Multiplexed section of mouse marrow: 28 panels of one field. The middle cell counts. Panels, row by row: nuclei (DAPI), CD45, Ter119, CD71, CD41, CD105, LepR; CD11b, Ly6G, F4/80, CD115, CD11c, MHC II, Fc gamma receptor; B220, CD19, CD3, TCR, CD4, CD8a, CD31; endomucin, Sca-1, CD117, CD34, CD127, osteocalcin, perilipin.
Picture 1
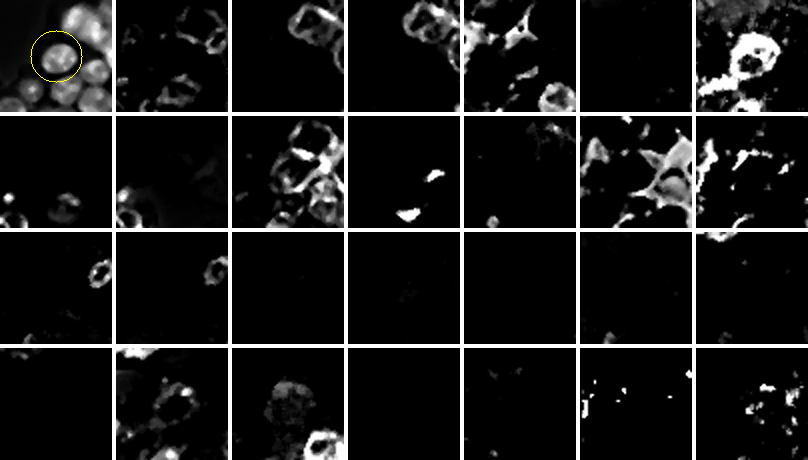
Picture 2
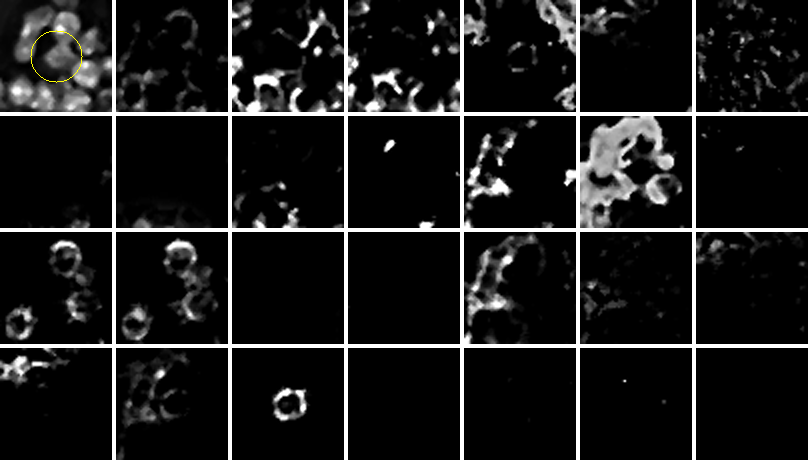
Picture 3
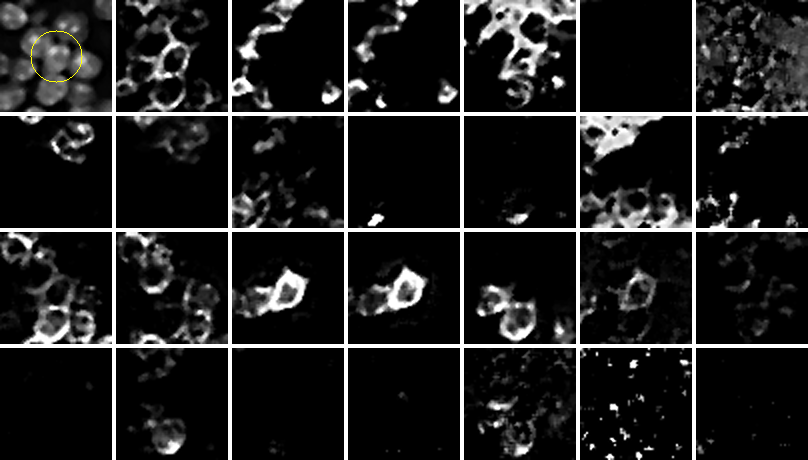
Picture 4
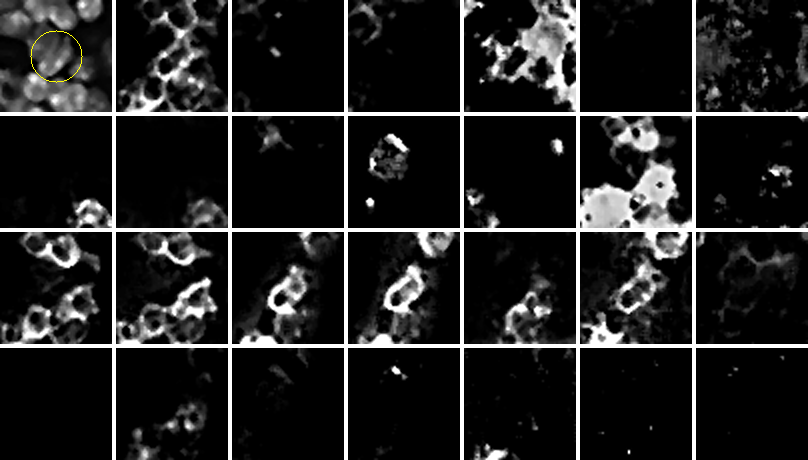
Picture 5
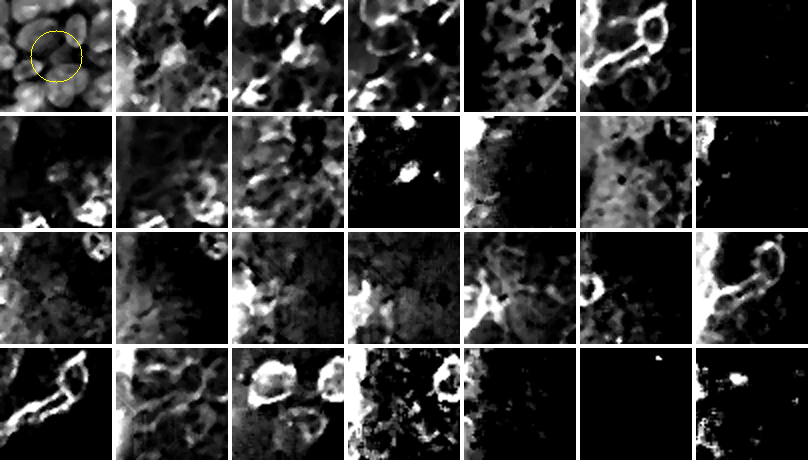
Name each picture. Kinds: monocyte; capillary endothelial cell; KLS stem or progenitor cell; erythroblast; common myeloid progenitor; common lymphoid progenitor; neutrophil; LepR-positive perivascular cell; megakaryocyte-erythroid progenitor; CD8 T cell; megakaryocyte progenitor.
(1) LepR-positive perivascular cell
(2) megakaryocyte-erythroid progenitor
(3) CD8 T cell
(4) CD8 T cell
(5) monocyte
